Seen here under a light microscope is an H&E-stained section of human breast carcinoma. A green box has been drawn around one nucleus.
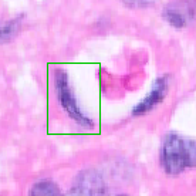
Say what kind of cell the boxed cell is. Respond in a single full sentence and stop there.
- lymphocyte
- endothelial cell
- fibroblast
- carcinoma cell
The identity of the boxed cell is that of an endothelial cell.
